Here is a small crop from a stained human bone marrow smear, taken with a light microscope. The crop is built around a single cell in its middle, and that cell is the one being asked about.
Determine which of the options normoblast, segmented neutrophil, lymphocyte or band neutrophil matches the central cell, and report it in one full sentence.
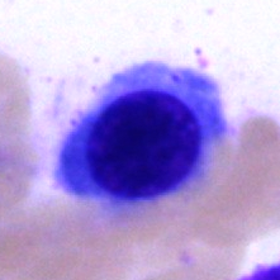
The central cell, amid any neighbouring cells, is a normoblast.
